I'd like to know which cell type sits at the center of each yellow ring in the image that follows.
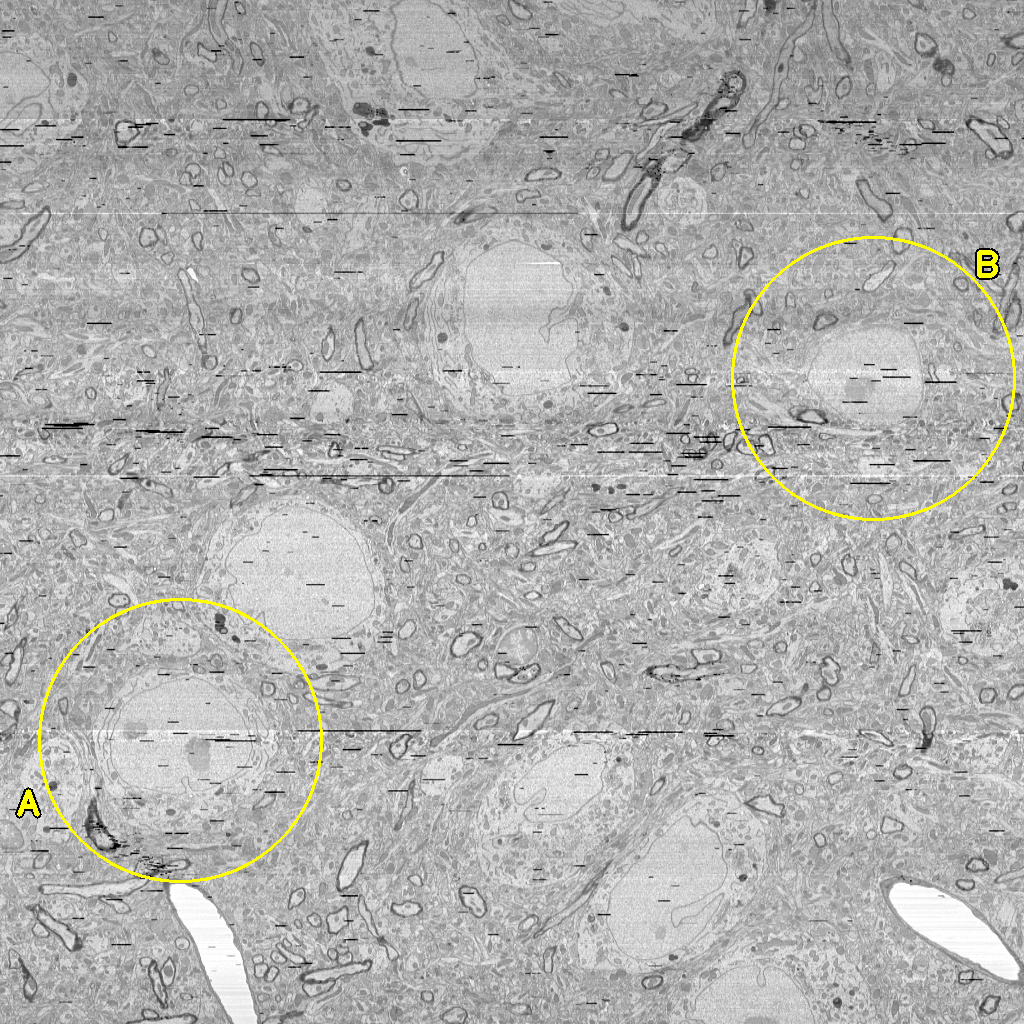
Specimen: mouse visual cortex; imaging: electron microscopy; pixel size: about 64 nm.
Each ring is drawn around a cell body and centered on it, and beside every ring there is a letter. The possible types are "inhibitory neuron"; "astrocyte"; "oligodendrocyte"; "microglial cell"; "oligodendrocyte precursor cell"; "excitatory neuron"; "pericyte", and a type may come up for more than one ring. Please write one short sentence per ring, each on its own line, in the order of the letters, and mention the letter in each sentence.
The cell at the center of ring A is an excitatory neuron.
The cell at the center of ring B is an astrocyte.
